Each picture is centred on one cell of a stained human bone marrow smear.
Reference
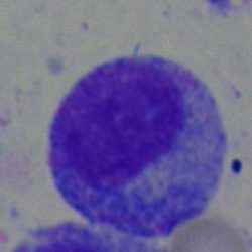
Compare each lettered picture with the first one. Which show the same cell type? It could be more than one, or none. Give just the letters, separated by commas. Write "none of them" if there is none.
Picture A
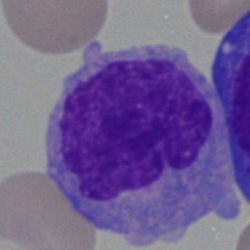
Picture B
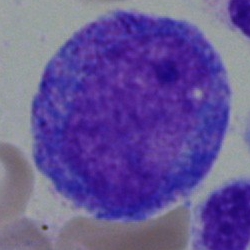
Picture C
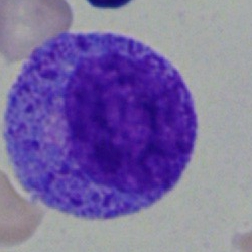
B, C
